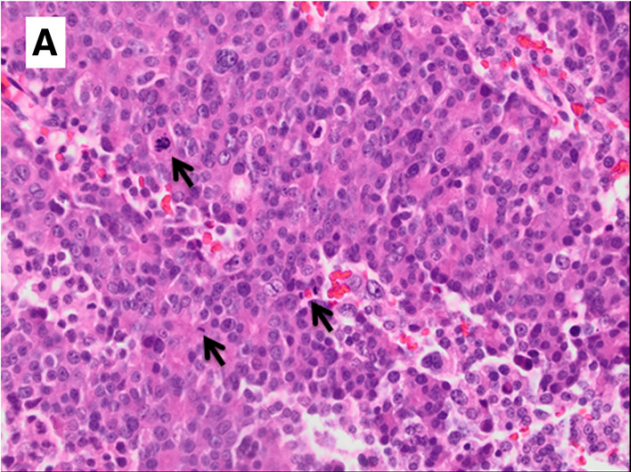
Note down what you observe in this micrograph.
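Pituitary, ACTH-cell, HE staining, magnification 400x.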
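Sheets of closely packed tumor cells with round to oval nuclei, fine chromatin and moderate amounts of pink cytoplasm fill the field, crossed by thin vascular channels holding red blood cells. A few nuclei are larger and show small nucleoli. Scattered cells have dark, condensed, clumped chromatin without a nuclear outline, which are mitotic figures in this adenoma.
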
